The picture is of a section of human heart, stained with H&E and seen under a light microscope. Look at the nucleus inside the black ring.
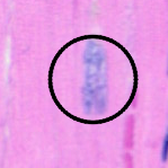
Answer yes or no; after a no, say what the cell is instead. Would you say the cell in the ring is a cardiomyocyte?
Yes.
